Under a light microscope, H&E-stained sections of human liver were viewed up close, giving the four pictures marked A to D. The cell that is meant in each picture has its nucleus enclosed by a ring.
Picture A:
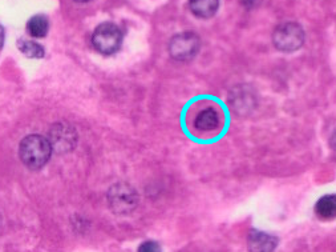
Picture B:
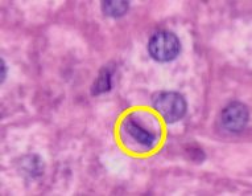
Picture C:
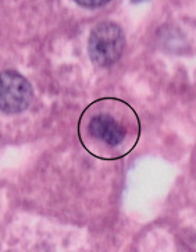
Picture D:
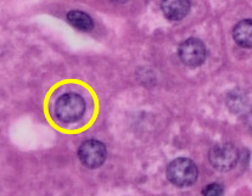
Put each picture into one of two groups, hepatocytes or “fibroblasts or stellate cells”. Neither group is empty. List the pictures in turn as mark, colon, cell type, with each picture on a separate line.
A: fibroblast or stellate cell
B: fibroblast or stellate cell
C: fibroblast or stellate cell
D: hepatocyte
